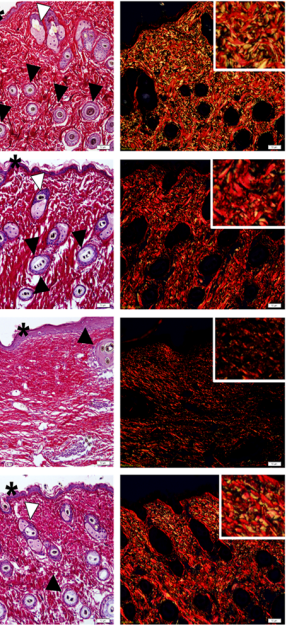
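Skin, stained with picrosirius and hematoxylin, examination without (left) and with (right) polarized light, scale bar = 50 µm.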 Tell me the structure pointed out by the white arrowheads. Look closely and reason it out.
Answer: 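The white arrowheads point to pale, lobed clusters of cells in the upper dermis. The clusters lie close to the hair follicles.
Sebaceous glands.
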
